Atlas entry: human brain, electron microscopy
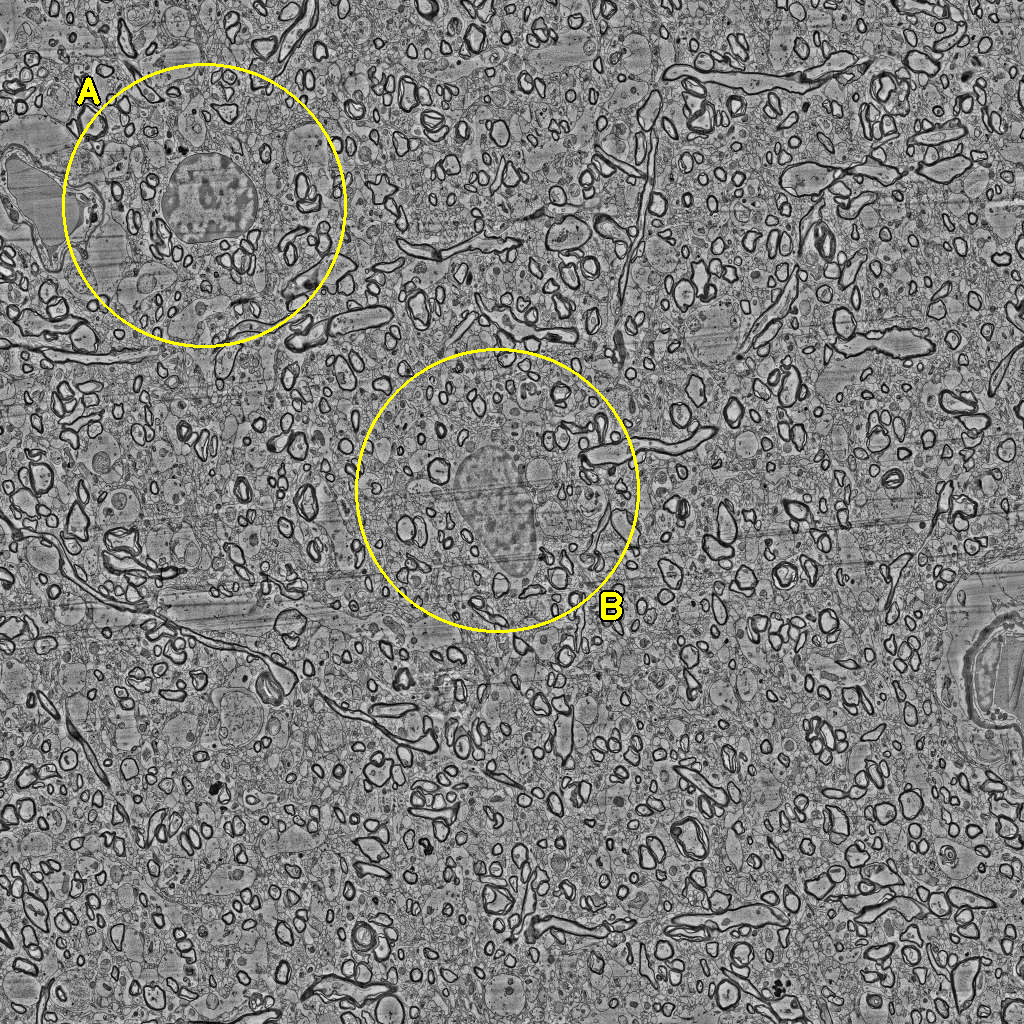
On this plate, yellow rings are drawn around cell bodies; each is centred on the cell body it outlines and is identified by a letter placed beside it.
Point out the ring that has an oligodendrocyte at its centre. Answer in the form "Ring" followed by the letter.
Ring B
